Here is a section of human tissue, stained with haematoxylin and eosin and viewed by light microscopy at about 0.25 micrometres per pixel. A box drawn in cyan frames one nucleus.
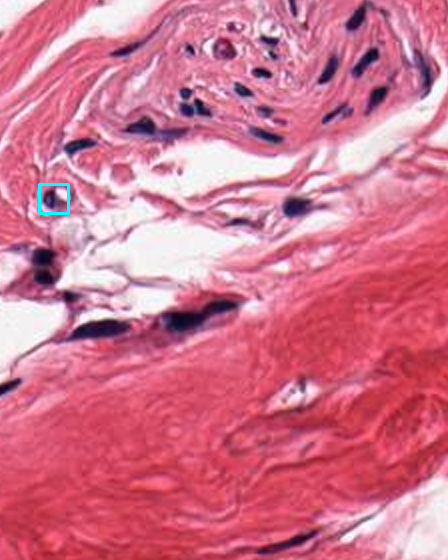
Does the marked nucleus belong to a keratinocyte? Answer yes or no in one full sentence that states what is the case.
No, the marked nucleus is attributed to a supporting cell, not to a keratinocyte.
